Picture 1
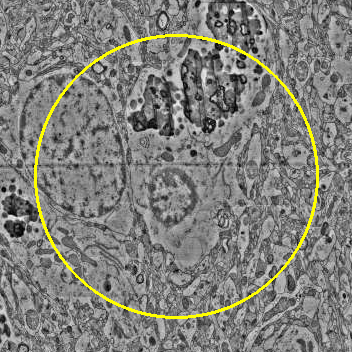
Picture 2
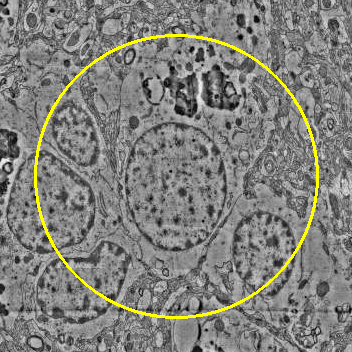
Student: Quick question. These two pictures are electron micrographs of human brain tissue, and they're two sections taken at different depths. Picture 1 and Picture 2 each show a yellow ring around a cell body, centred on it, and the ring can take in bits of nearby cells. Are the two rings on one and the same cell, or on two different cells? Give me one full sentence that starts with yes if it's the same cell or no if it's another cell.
Yes, the cell inside the first ring is the cell inside the second.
